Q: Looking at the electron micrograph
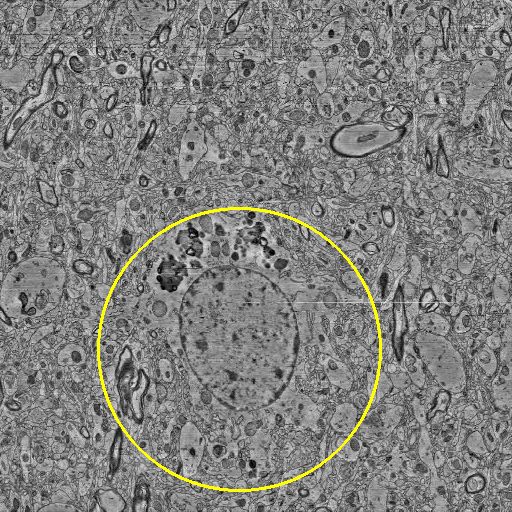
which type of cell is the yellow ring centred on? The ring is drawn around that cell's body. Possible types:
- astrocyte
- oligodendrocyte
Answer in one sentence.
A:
The yellow ring is centred on an astrocyte.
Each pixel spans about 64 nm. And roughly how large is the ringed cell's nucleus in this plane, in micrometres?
In this plane the nucleus measures roughly 10 by 8 micrometres.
